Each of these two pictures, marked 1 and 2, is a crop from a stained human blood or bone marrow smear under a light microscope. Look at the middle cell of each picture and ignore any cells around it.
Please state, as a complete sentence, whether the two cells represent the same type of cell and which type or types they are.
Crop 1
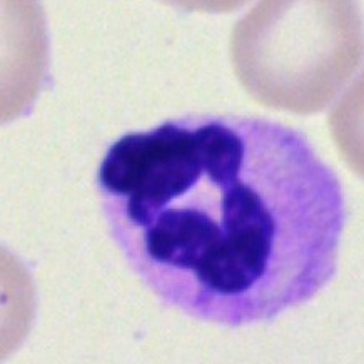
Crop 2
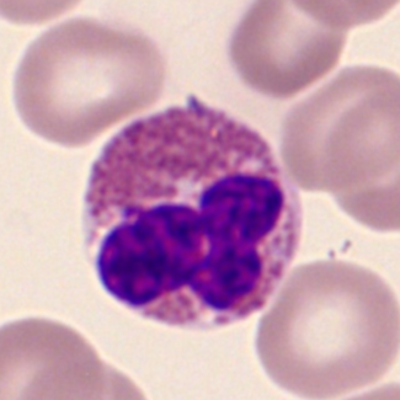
No, a segmented neutrophil is in crop 1, and an eosinophil is in crop 2.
